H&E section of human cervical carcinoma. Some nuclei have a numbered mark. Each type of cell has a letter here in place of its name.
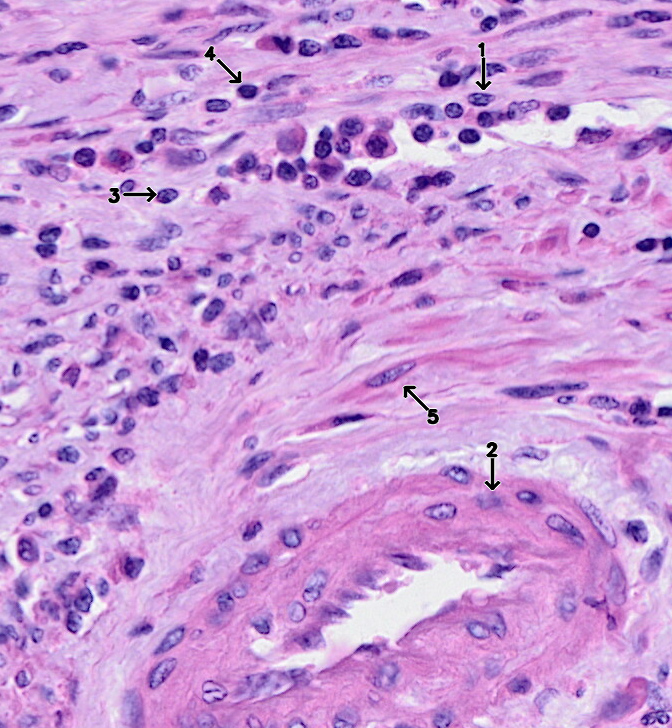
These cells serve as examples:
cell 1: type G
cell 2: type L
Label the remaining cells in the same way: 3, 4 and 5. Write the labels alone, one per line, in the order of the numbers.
type G
type G
type L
